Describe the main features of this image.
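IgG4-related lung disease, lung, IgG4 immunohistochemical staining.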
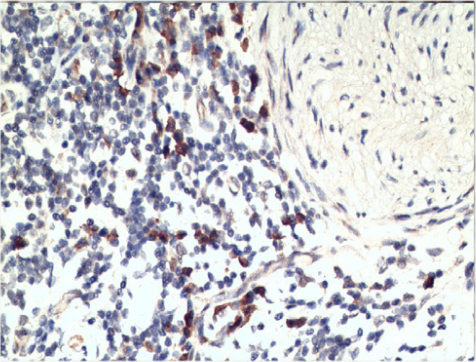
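A dense infiltrate of small round cells with blue nuclei contains many scattered plasma cells whose cytoplasm is stained brown. The brown cells are round to oval, with the stained cytoplasm often to one side of the nucleus. To one side lies a whorled area of loose fibrous tissue with spindle-shaped nuclei and few stained cells.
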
